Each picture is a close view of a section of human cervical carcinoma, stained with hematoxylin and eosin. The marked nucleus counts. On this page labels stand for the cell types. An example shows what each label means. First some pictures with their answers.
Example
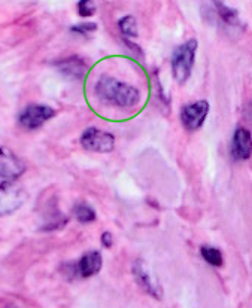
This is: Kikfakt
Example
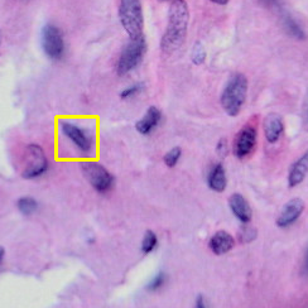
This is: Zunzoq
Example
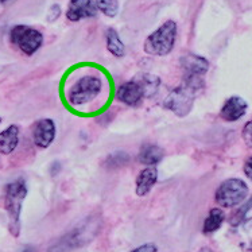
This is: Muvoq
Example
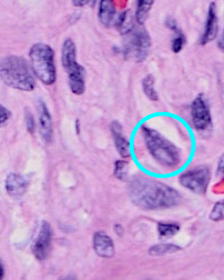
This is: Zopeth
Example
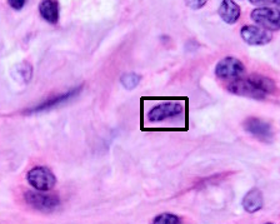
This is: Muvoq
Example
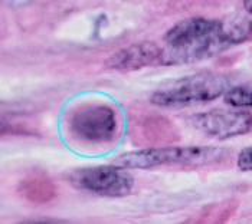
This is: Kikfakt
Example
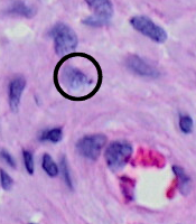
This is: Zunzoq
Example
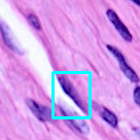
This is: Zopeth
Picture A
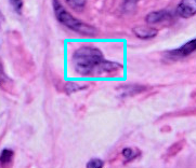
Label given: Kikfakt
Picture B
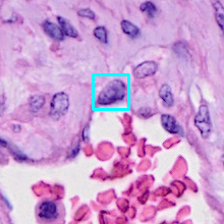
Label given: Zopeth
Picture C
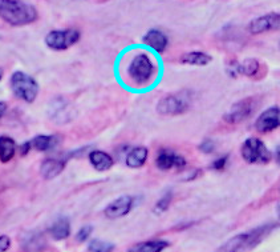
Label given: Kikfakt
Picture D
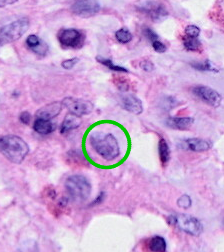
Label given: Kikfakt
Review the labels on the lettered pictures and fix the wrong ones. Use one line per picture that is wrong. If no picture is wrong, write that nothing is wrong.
C: change Kikfakt to Muvoq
